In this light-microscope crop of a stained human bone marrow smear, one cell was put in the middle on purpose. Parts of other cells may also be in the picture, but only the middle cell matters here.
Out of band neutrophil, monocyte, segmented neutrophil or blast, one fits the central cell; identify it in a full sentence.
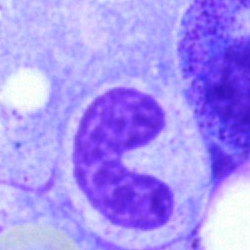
Located at the centre of the crop is a band neutrophil.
